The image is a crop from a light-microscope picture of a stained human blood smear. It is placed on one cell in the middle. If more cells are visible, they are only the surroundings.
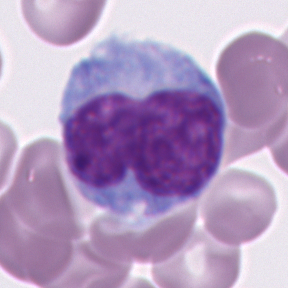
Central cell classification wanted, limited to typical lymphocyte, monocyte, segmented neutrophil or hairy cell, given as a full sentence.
The middle position in this crop is taken by a monocyte.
